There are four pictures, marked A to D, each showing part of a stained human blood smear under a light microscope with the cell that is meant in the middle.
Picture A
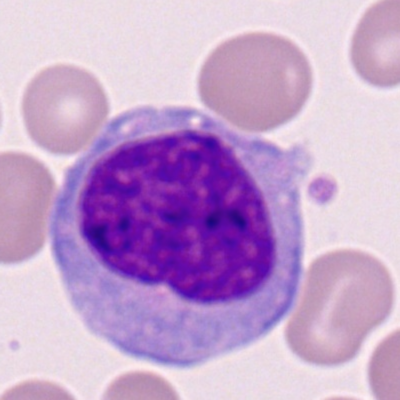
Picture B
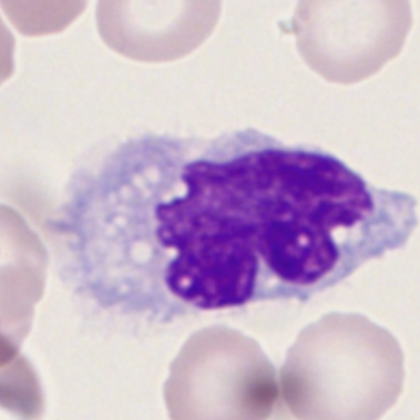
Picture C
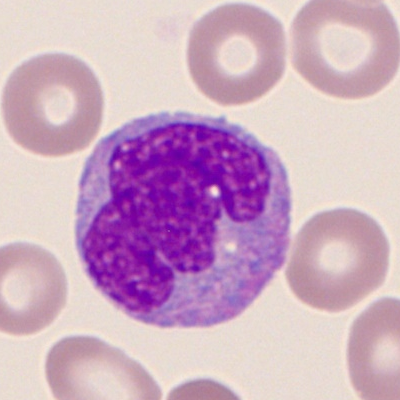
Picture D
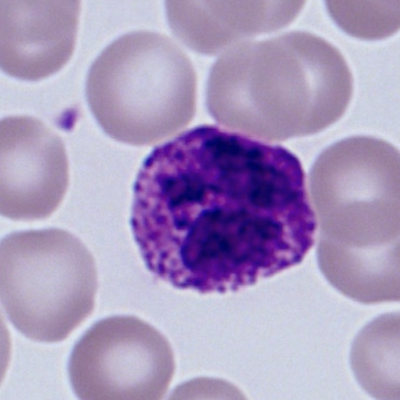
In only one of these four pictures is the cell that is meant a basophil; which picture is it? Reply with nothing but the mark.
D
